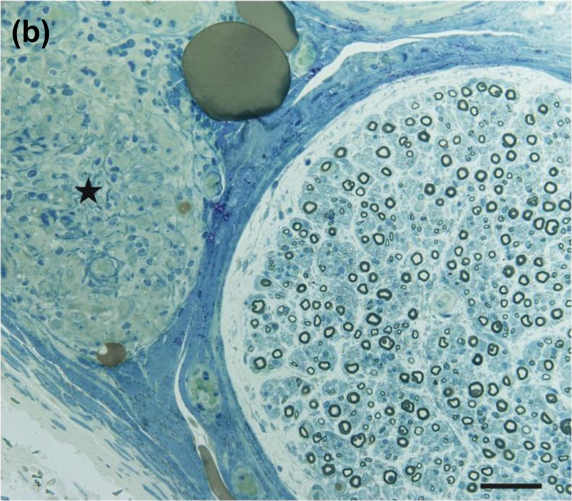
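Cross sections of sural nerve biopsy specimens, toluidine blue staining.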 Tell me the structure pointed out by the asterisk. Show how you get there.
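A granuloma in the epineurium. The asterisk lies on a pale greenish nodule of cells outside the fascicle. The nodule lacks the dark myelin rings seen in the fascicle beside it.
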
